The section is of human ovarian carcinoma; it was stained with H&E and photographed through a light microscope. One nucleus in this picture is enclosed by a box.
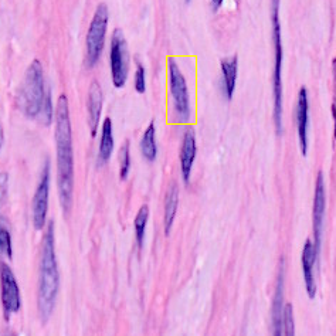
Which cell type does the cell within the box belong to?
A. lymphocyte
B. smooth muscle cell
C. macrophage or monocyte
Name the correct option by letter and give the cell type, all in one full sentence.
Settle on option B; the cell within the box is a smooth muscle cell.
